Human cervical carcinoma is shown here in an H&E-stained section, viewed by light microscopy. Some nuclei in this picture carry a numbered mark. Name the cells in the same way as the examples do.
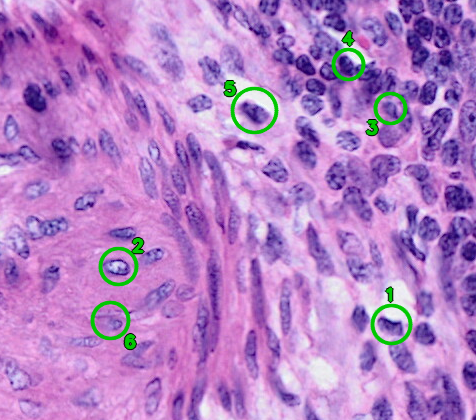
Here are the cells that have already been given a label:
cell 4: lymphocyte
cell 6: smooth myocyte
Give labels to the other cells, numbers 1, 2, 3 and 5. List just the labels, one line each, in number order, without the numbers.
lymphocyte
smooth myocyte
lymphocyte
lymphocyte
